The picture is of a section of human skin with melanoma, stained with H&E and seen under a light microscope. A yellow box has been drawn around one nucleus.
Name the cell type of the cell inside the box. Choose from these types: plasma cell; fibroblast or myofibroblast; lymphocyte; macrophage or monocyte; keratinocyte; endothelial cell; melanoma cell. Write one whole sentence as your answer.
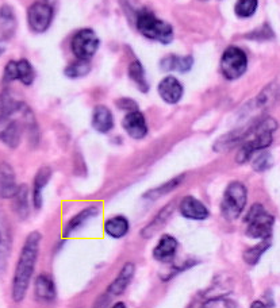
In terms of identity, the cell inside the box is an endothelial cell.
